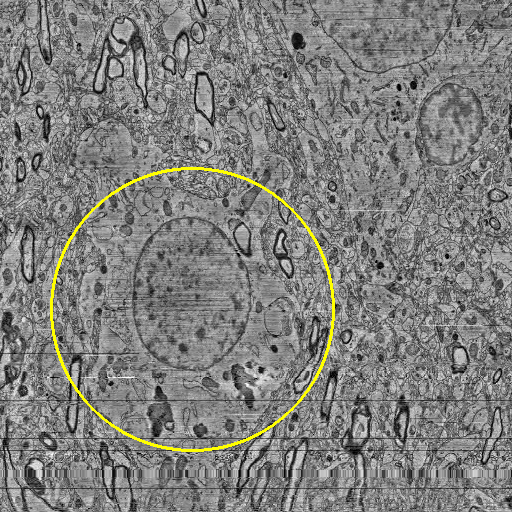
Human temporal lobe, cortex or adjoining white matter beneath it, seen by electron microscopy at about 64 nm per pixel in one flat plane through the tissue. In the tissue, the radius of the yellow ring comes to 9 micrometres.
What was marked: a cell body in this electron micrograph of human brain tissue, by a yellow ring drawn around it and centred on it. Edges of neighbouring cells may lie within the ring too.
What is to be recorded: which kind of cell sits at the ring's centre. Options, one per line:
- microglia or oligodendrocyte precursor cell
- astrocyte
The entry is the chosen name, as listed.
astrocyte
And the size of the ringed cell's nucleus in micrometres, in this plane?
About 10 micrometres by about 8 micrometres in this plane.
